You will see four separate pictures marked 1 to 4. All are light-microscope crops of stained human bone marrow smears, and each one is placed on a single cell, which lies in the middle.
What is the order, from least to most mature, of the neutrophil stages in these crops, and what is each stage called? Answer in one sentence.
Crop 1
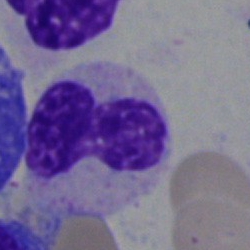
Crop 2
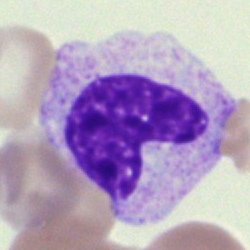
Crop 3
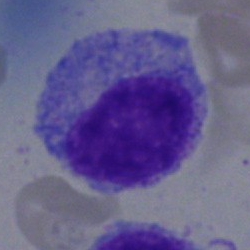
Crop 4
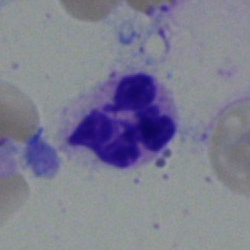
The maturation order, from least to most mature, is crop 3 (a myelocyte), crop 2 (a metamyelocyte), crop 1 (a band neutrophil) and crop 4 (a segmented neutrophil).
